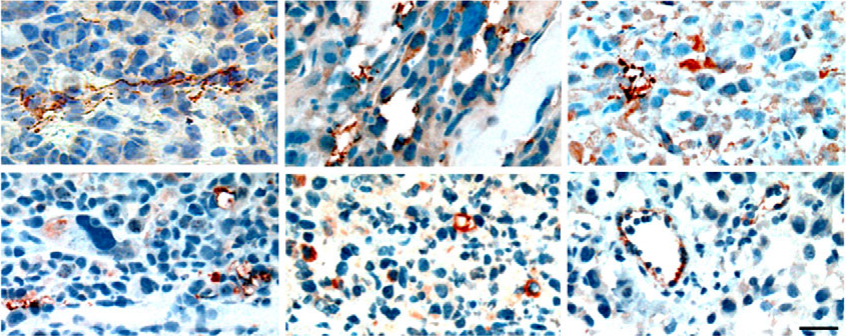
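Six fields of densely cellular tumor tissue are shown, with brown-red stained blood-vessel endothelial cells among blue-stained tumor cell nuclei. The tumor cells are closely packed and have round to oval nuclei with little visible cytoplasm. The brown-red stain outlines small vessels as thin rings, short strands or beaded lines around narrow or open lumens. One field shows a larger round vessel whose lumen is lined by a thin stained wall.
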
